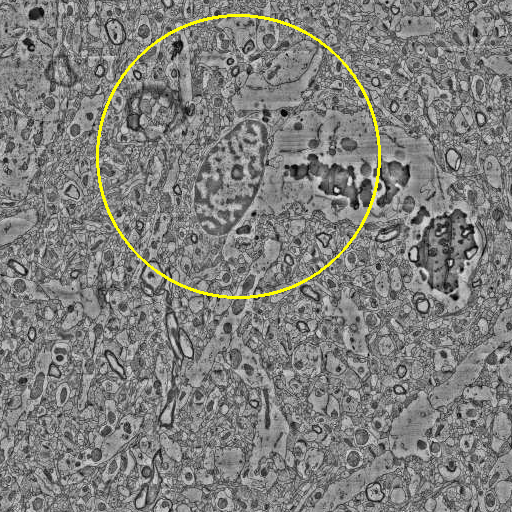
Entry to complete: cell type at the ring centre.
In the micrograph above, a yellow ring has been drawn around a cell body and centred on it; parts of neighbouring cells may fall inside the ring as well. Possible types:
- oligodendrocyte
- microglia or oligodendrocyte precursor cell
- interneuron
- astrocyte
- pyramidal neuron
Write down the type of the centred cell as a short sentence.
The ring is centred on a microglial cell or oligodendrocyte precursor cell.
